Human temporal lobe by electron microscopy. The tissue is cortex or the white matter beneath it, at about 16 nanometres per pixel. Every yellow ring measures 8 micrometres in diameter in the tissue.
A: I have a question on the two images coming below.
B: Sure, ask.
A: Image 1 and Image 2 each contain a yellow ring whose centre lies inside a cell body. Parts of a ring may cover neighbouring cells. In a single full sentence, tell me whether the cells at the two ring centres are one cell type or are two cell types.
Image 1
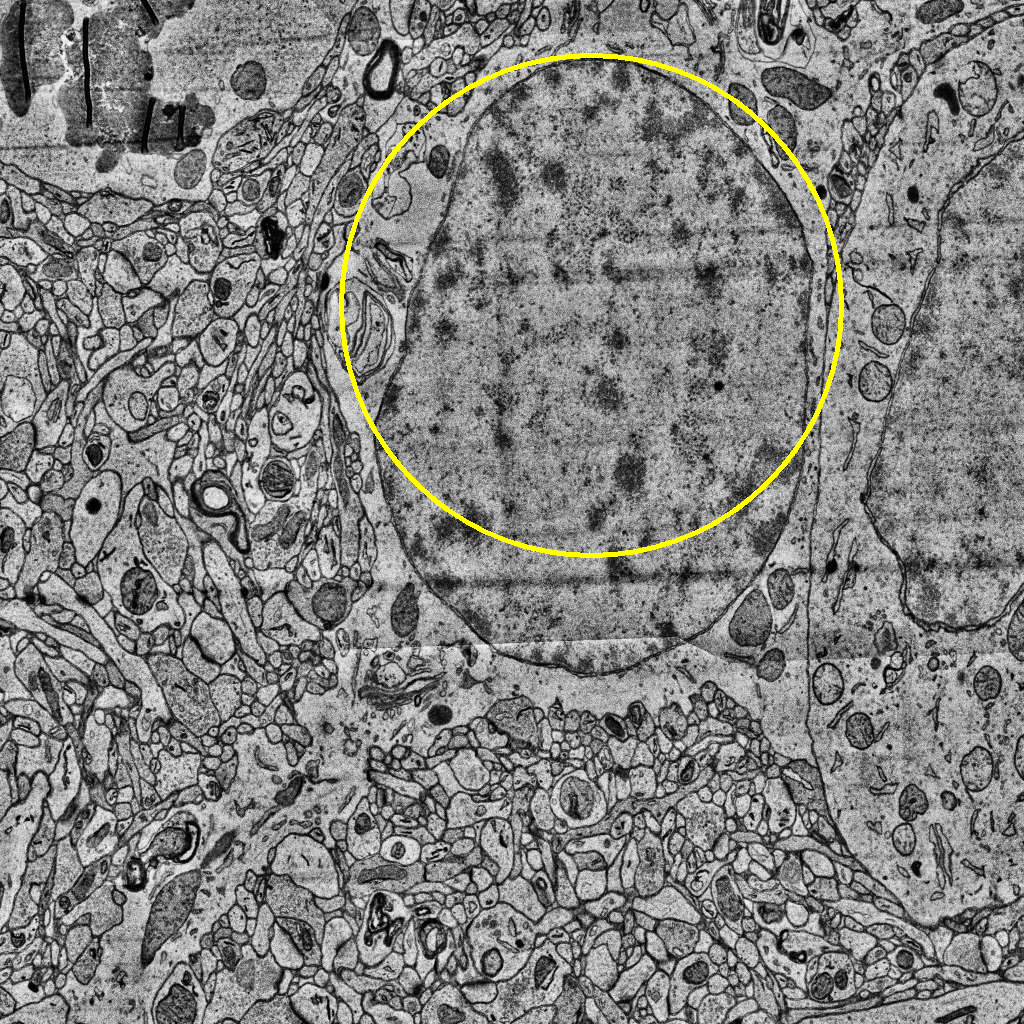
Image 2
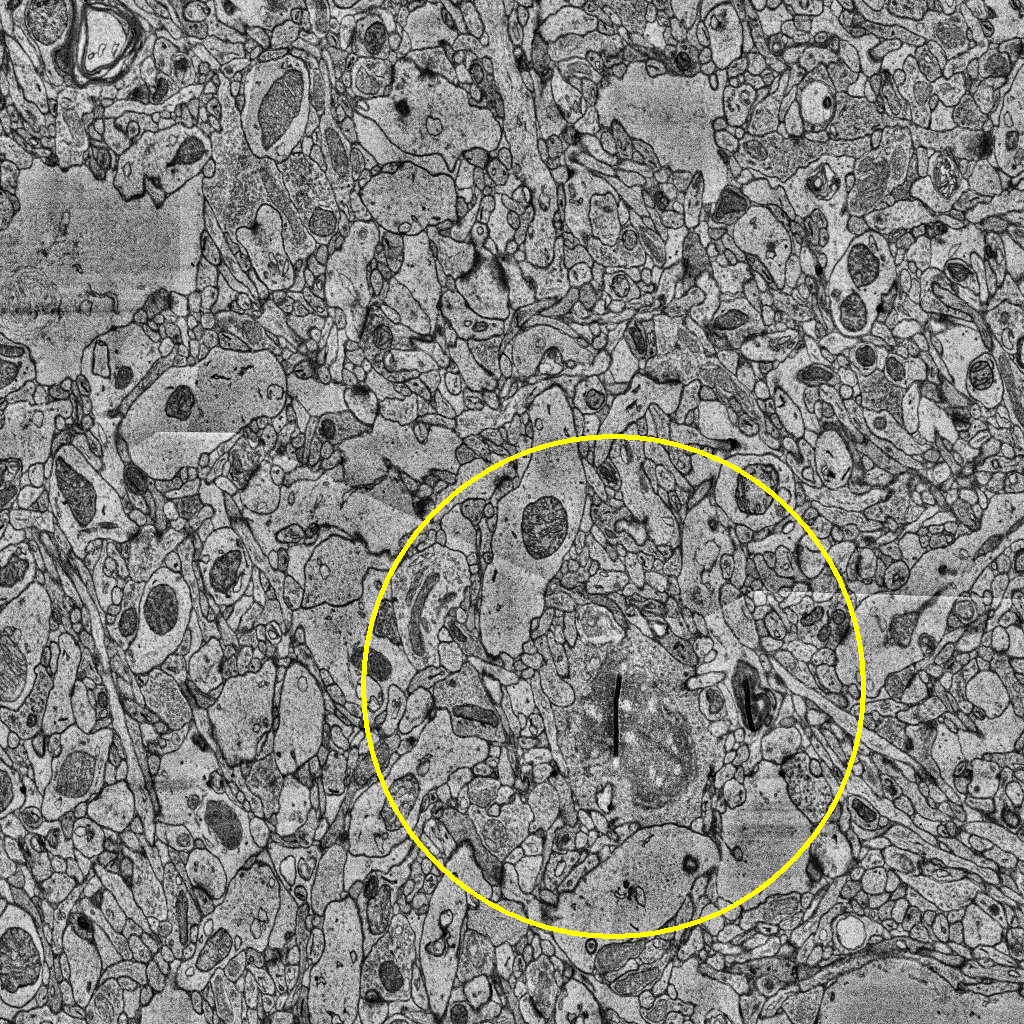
As for the ring-centre cells, the one in Image 1 and the one in Image 2 are two cell types.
